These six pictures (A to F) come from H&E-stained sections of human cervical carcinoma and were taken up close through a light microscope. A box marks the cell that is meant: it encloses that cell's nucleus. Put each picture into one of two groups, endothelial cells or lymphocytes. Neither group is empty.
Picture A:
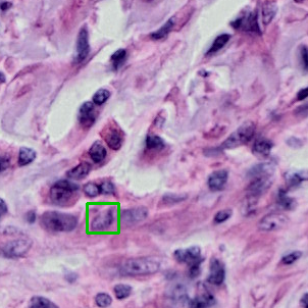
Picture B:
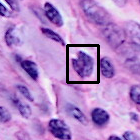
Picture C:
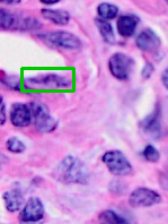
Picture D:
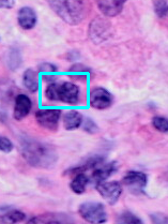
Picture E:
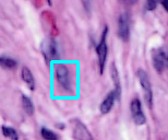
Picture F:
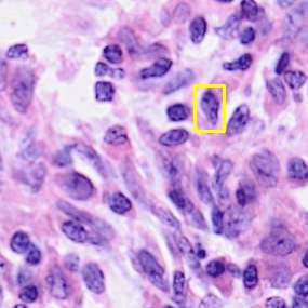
A: endothelial cell
B: lymphocyte
C: endothelial cell
D: lymphocyte
E: endothelial cell
F: lymphocyte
